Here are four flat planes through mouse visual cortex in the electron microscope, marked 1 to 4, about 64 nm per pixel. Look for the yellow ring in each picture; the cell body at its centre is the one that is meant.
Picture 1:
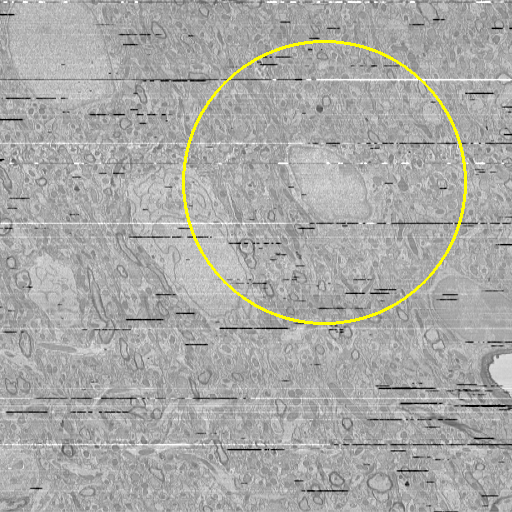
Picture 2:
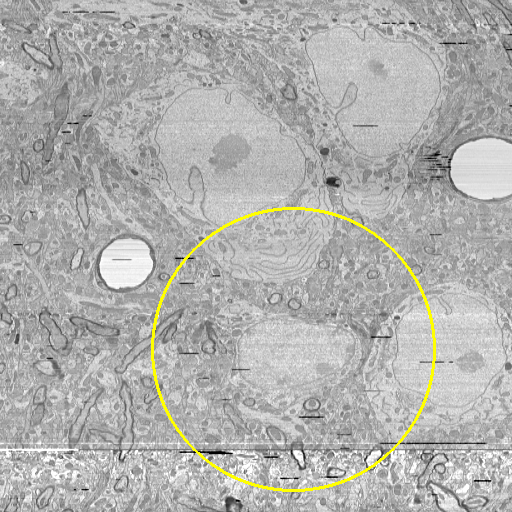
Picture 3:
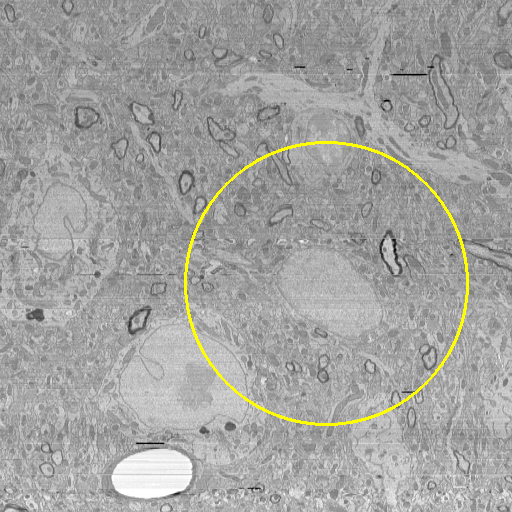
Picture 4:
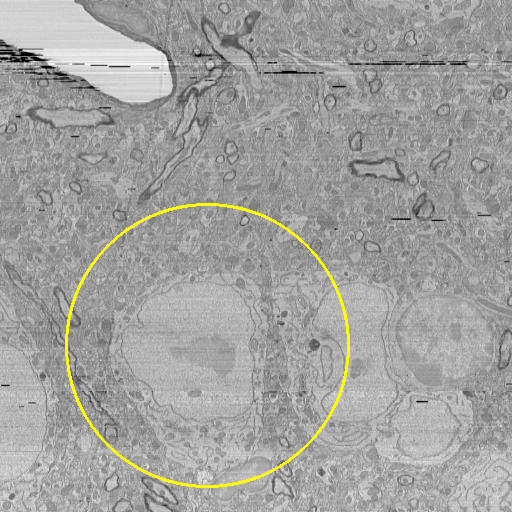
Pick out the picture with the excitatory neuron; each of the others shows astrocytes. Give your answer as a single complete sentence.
Picture 4 is the one that shows the excitatory neuron.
